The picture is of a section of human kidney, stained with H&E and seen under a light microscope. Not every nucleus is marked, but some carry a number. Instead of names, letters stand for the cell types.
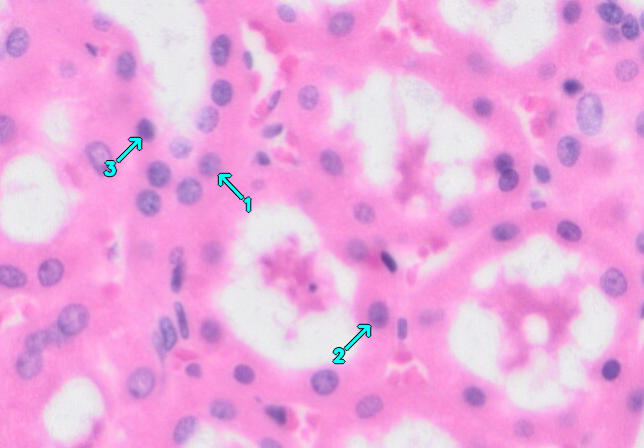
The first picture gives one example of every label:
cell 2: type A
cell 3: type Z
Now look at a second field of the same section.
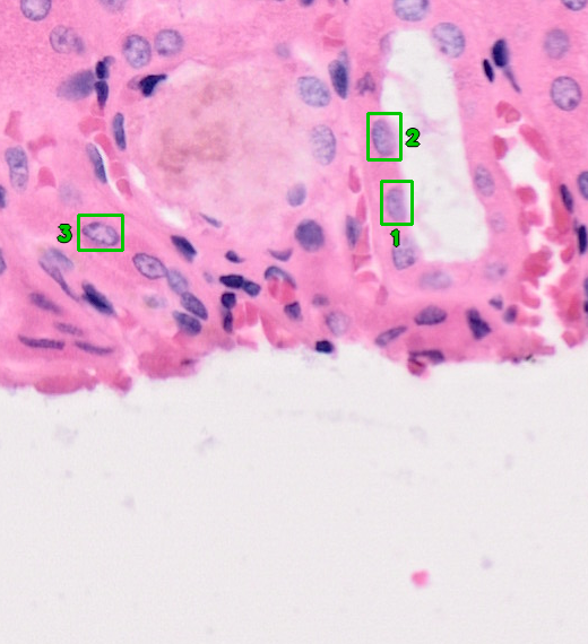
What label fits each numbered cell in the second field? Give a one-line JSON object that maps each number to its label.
{"1": "type Z", "2": "type Z", "3": "type A"}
